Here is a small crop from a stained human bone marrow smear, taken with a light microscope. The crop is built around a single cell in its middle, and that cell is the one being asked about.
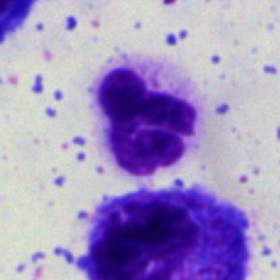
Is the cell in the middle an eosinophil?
no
